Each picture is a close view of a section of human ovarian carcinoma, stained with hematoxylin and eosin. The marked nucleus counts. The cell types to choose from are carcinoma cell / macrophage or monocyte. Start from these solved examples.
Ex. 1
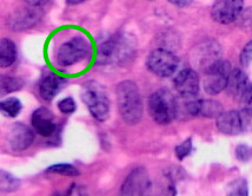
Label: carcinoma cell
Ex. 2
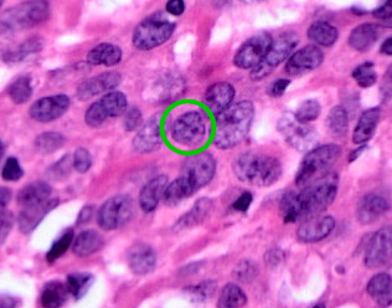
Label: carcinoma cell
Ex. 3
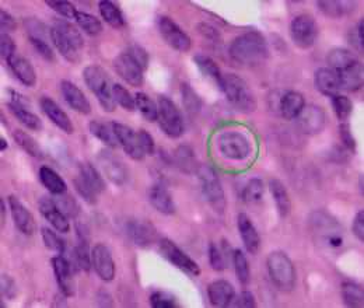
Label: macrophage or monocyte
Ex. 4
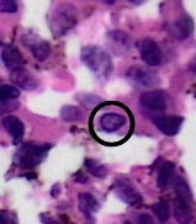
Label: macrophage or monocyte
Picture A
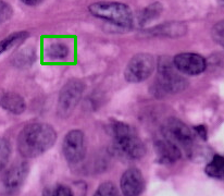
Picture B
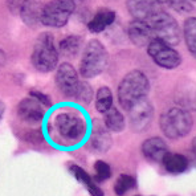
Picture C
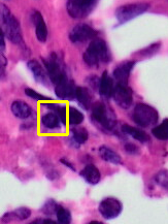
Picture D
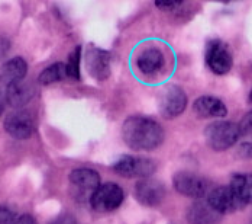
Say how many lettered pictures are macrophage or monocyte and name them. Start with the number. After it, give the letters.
3: A, B, D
